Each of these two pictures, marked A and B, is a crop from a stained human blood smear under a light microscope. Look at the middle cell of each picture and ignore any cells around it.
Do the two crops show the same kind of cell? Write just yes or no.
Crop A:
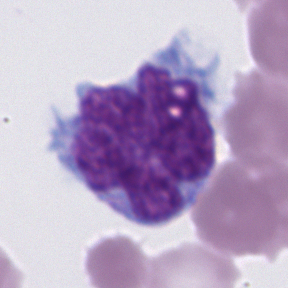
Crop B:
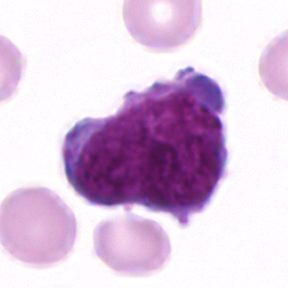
no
